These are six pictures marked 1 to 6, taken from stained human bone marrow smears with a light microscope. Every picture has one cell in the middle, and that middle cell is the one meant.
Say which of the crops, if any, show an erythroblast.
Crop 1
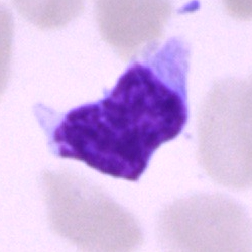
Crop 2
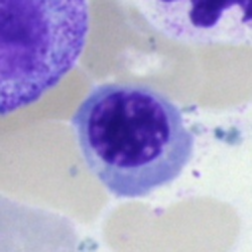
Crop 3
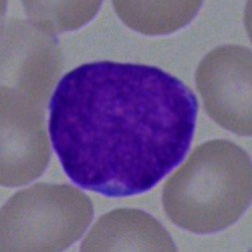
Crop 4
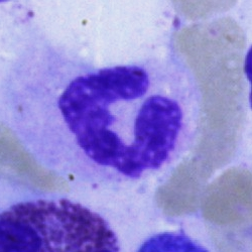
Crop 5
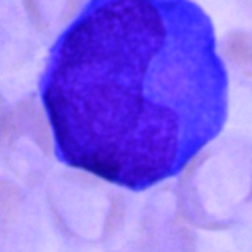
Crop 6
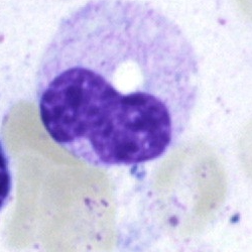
2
